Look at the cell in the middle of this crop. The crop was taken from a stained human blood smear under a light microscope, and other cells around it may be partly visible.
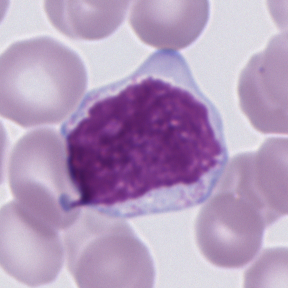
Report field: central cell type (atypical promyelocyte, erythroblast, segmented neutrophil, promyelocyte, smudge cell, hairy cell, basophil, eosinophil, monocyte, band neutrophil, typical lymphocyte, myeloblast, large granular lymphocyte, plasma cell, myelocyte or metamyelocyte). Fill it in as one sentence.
The middle of this crop is occupied by a large granular lymphocyte.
